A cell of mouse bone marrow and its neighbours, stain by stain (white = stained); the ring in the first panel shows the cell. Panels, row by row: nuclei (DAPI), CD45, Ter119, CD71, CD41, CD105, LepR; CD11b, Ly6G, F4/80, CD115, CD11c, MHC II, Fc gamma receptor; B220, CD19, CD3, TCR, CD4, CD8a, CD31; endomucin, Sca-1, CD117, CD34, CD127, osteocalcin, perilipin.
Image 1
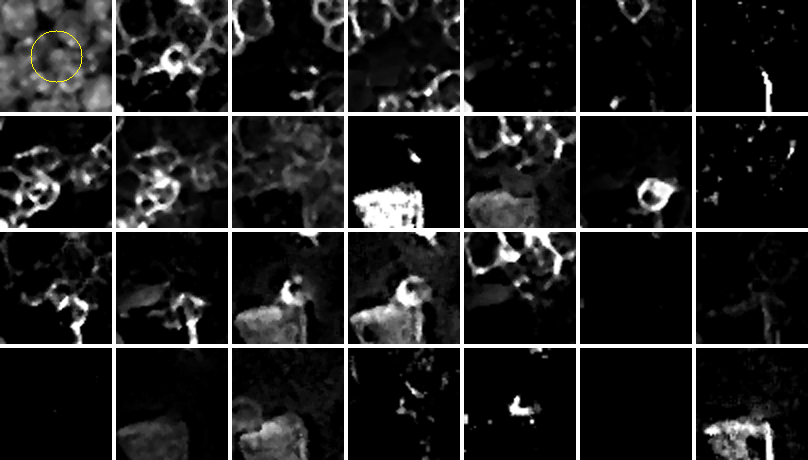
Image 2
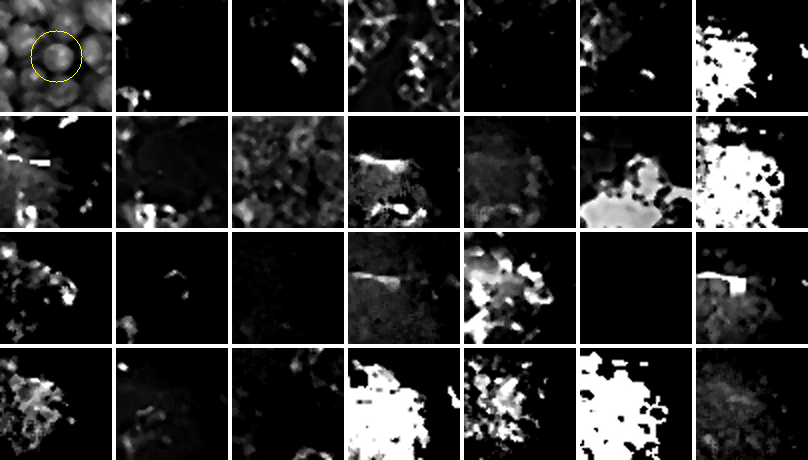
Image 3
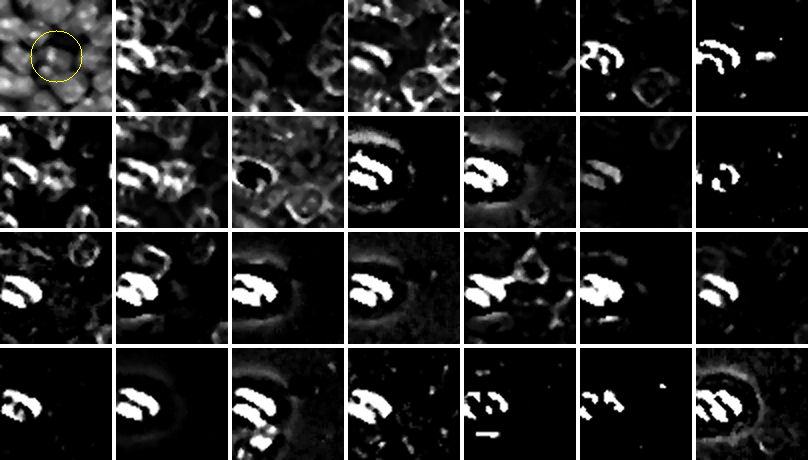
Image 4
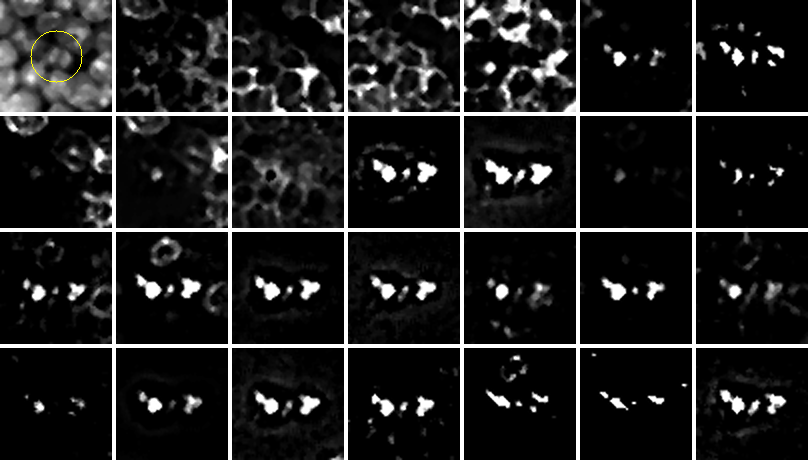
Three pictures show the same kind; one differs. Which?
Picture 1: a double-negative T cell, while the others are LepR-positive perivascular cells.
